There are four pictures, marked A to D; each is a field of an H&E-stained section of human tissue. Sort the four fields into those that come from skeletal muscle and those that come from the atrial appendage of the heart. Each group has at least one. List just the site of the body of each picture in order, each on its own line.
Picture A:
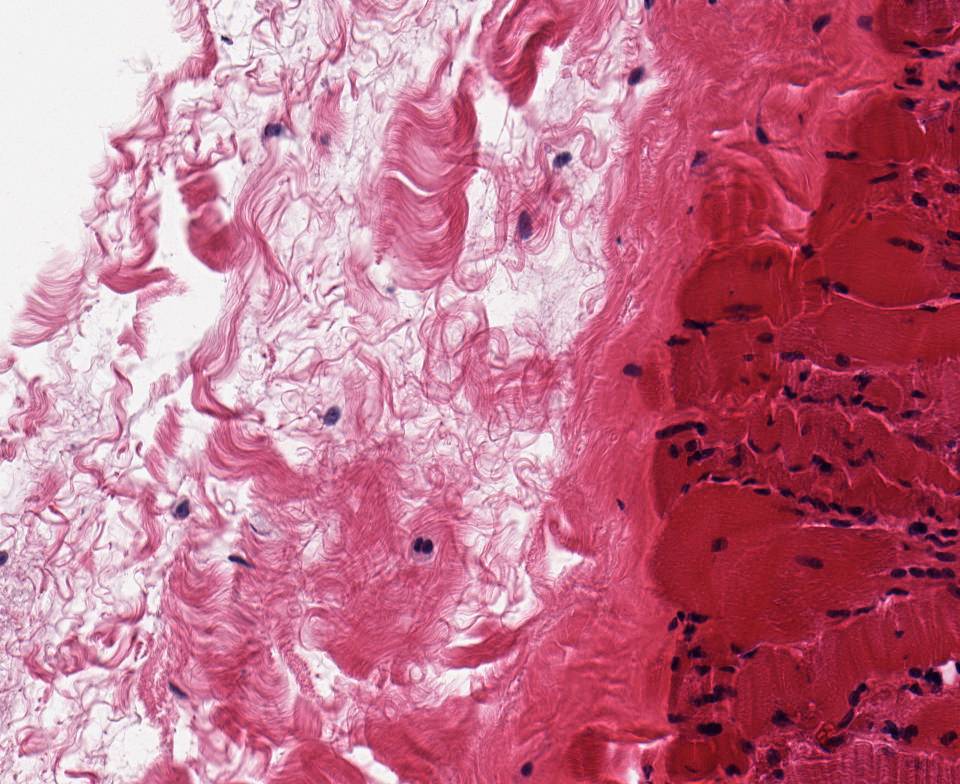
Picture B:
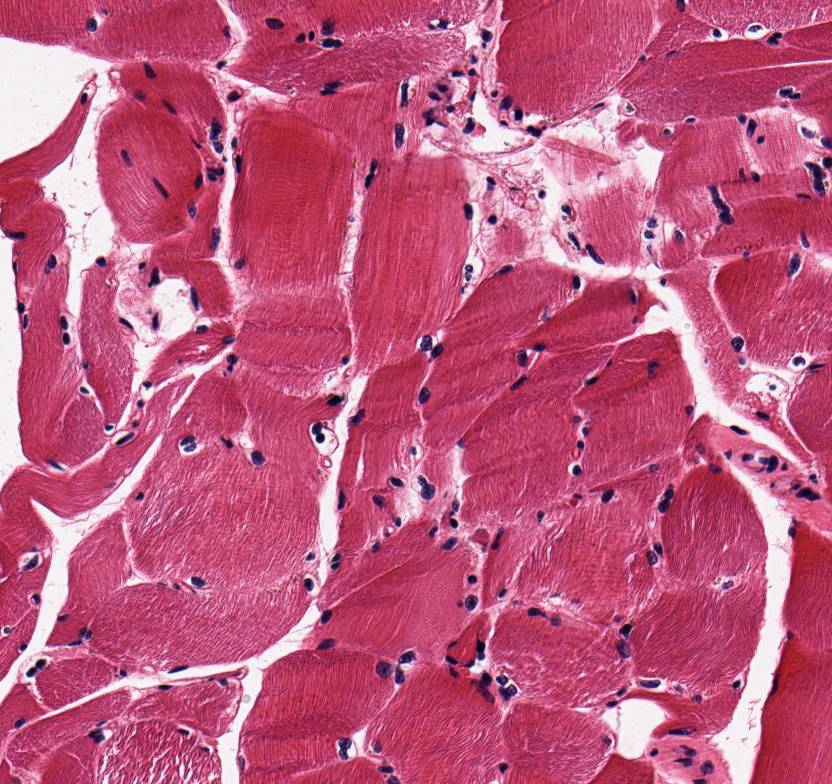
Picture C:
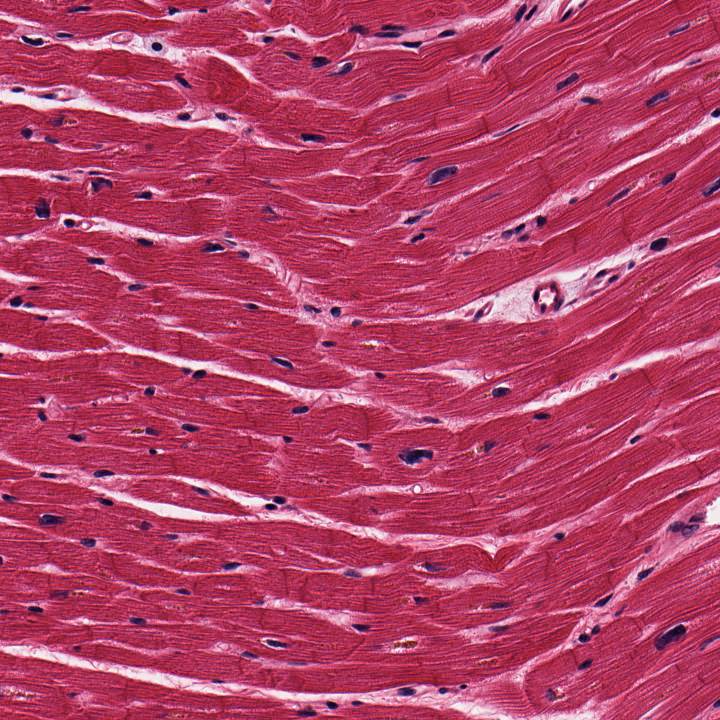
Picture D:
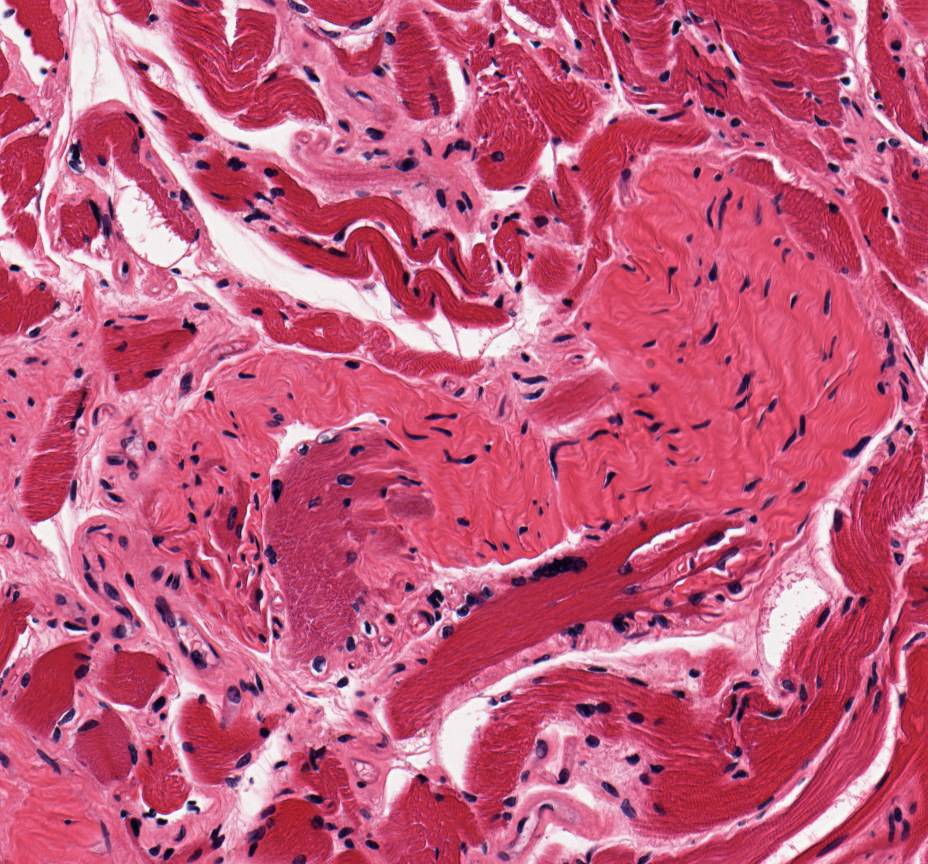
skeletal muscle
skeletal muscle
atrial appendage of the heart
skeletal muscle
